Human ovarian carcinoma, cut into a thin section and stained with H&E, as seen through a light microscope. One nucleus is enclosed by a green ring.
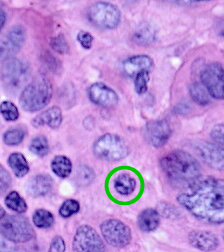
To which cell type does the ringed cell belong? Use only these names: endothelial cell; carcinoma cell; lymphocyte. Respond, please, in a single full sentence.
Assigned to a cell type, the ringed cell is a lymphocyte.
